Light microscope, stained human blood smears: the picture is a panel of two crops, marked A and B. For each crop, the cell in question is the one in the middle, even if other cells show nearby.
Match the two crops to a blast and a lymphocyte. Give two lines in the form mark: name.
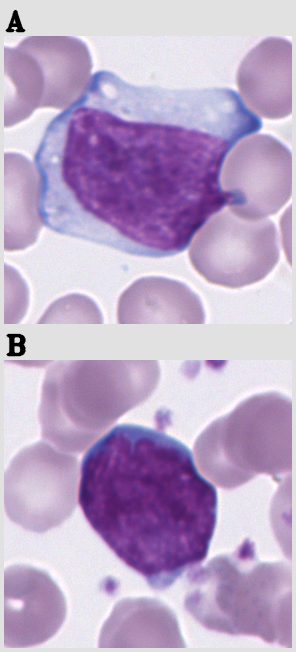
A: blast
B: lymphocyte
